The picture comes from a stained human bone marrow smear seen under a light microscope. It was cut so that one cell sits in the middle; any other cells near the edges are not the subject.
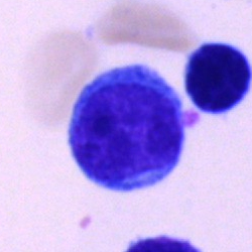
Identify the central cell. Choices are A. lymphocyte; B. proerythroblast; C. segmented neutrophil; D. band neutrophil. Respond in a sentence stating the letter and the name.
According to option A, which is correct, the cell in the middle is a lymphocyte.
